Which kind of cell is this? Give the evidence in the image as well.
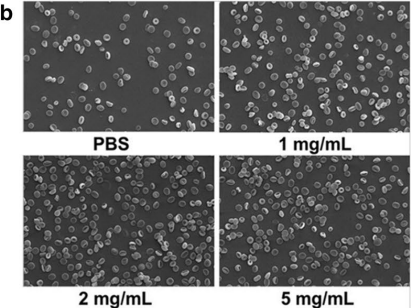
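Many small, uniform, round to oval discs scattered across the field. The cells show no nucleus. Most cells lie singly rather than in clumps.
Answer: Erythrocyte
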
